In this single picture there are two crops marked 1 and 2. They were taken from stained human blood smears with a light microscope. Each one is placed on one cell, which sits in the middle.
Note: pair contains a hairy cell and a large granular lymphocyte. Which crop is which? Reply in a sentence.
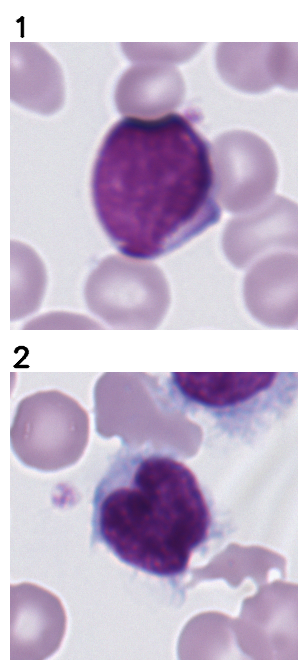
The cell in crop 1 is a large granular lymphocyte, and the one in crop 2 is a hairy cell.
